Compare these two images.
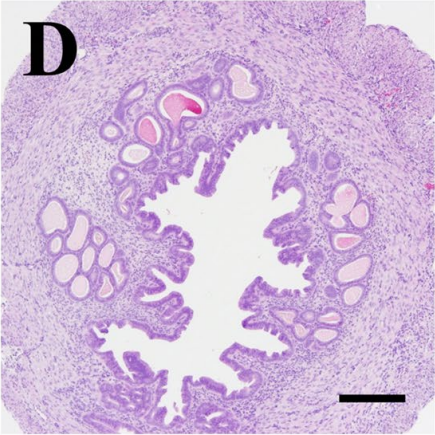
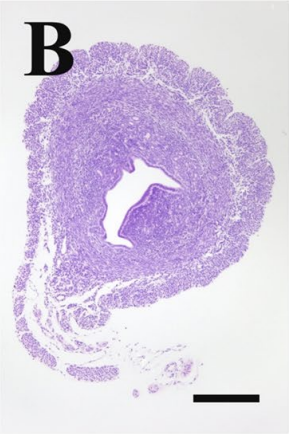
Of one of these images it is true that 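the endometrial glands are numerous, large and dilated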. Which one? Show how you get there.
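First image: many large, dilated glands, several filled with pink material, ring the folded lumen. Second image: a dense, compact wall around a small slit-like lumen with no visible dilated glands.
Hence: the first image.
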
